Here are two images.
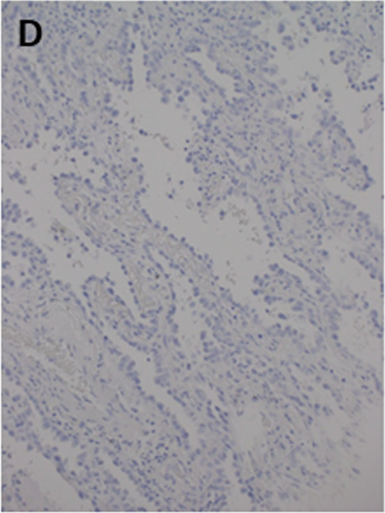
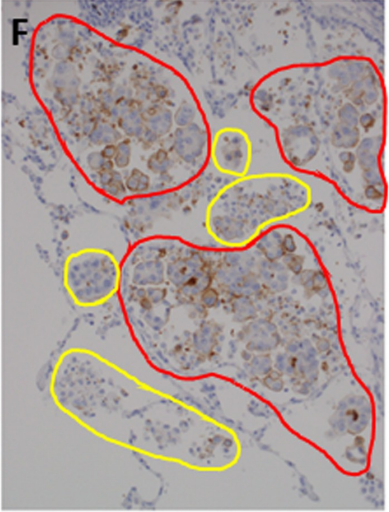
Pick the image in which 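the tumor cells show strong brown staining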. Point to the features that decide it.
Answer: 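The second image. Second image: clusters of large cells carry dense brown staining along their borders. First image: all cells are blue with no brown staining.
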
